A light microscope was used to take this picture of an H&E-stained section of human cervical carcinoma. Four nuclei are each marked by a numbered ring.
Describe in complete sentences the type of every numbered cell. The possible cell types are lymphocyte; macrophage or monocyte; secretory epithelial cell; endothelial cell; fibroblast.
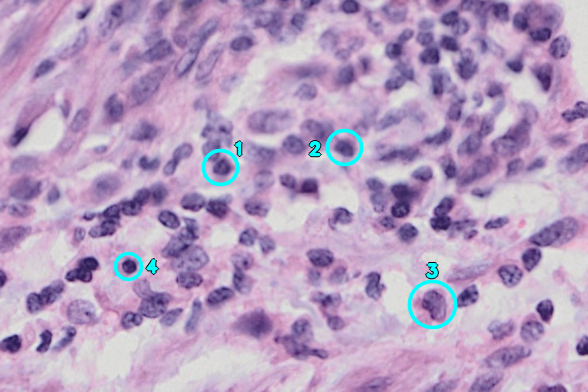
Cells 1, 2 and 4 are lymphocytes. Cell 3 is a macrophage or monocyte.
